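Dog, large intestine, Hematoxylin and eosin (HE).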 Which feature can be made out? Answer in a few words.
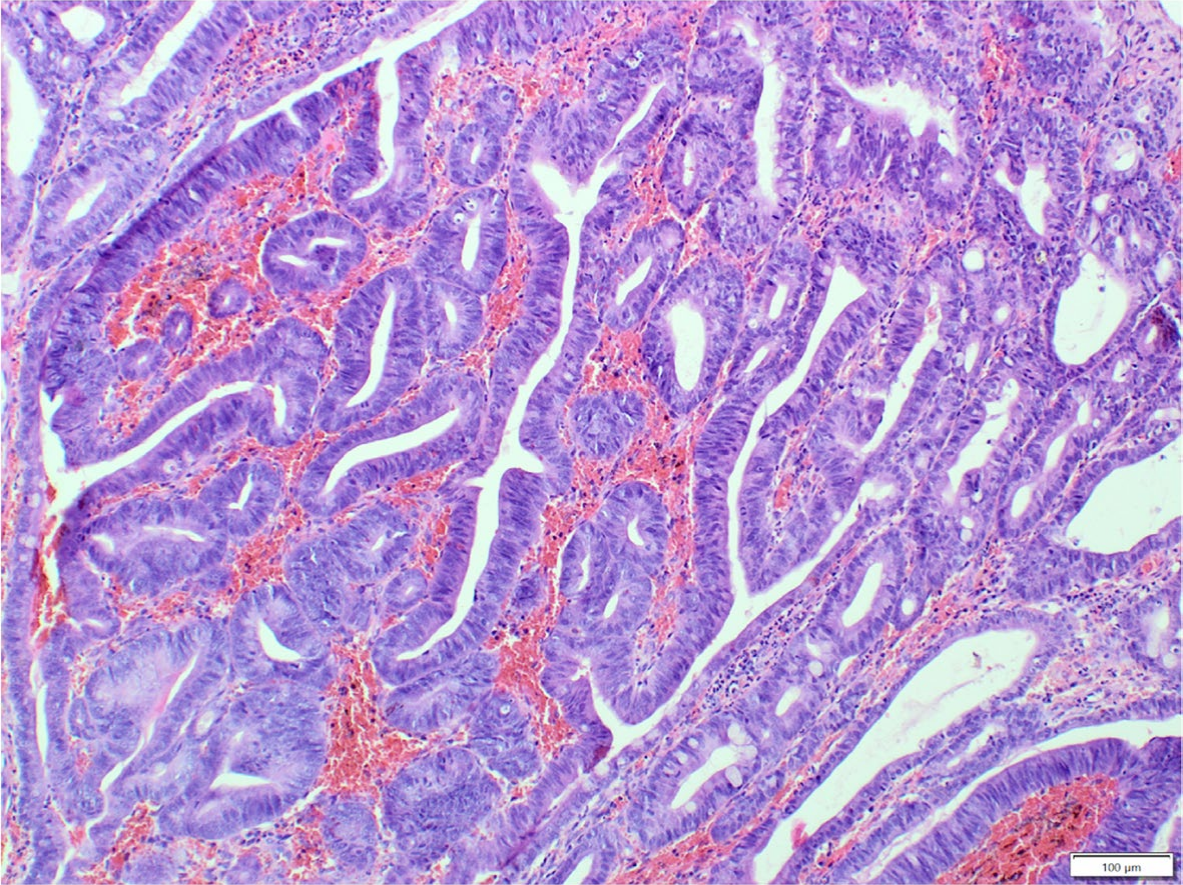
Irregular crypts.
